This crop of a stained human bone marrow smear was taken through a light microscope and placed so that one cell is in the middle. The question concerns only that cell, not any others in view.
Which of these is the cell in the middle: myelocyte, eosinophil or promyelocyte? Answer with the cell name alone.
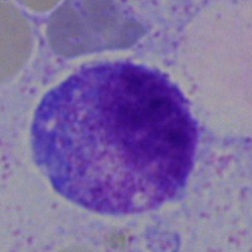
promyelocyte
